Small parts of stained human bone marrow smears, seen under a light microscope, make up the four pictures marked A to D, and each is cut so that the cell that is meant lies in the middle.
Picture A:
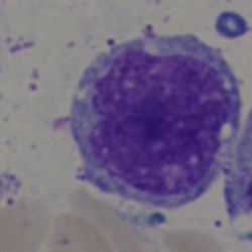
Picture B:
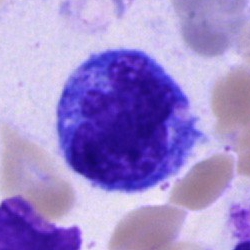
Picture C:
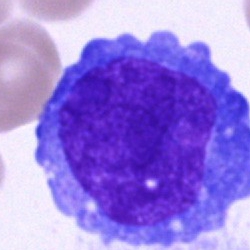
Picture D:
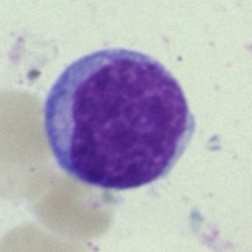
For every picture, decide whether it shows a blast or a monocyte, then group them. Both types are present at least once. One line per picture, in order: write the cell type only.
monocyte
monocyte
blast
blast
